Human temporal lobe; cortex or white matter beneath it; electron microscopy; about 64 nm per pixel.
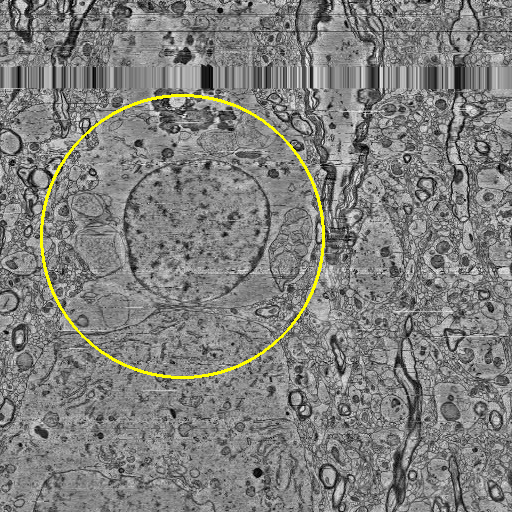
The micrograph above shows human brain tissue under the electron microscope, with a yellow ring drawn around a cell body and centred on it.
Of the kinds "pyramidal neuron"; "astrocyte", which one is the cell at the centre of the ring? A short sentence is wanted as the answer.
The one at the centre of the ring is an astrocyte.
